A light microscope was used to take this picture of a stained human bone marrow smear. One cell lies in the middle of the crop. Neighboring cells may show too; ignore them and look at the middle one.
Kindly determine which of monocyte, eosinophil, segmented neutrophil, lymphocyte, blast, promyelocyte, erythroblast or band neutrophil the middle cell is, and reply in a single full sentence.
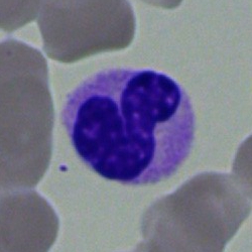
In this smear crop, the middle cell is a band neutrophil.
